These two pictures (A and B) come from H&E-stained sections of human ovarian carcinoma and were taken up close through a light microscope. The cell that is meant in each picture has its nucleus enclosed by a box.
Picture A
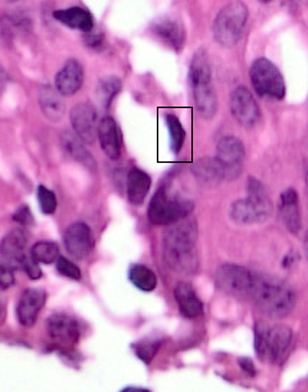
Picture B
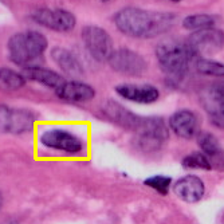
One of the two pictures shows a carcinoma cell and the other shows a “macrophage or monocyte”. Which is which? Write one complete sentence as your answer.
Picture A shows a carcinoma cell and picture B shows a “macrophage or monocyte”.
